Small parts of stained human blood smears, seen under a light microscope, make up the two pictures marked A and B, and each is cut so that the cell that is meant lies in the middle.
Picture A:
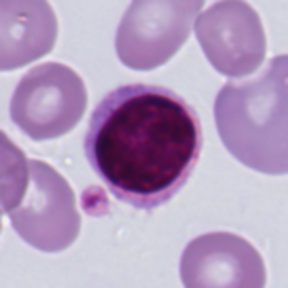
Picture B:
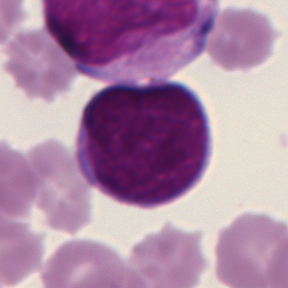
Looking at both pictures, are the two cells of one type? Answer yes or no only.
no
